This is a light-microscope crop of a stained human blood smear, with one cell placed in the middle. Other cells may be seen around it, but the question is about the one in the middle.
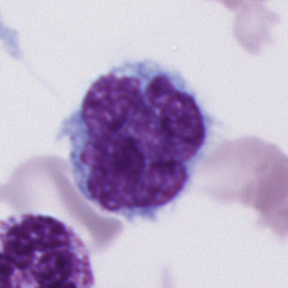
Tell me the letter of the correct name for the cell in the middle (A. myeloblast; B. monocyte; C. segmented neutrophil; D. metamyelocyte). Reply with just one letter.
B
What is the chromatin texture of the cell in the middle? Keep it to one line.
You can see that its chromatin is coarsely clumped.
